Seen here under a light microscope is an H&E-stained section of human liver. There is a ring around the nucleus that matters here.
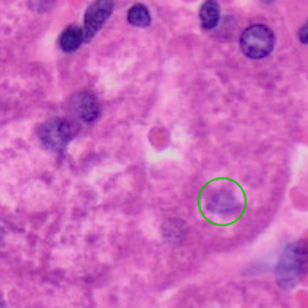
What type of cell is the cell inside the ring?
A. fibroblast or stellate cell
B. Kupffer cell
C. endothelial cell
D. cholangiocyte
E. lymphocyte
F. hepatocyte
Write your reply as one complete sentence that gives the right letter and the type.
Option F correctly labels the cell inside the ring as a hepatocyte.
